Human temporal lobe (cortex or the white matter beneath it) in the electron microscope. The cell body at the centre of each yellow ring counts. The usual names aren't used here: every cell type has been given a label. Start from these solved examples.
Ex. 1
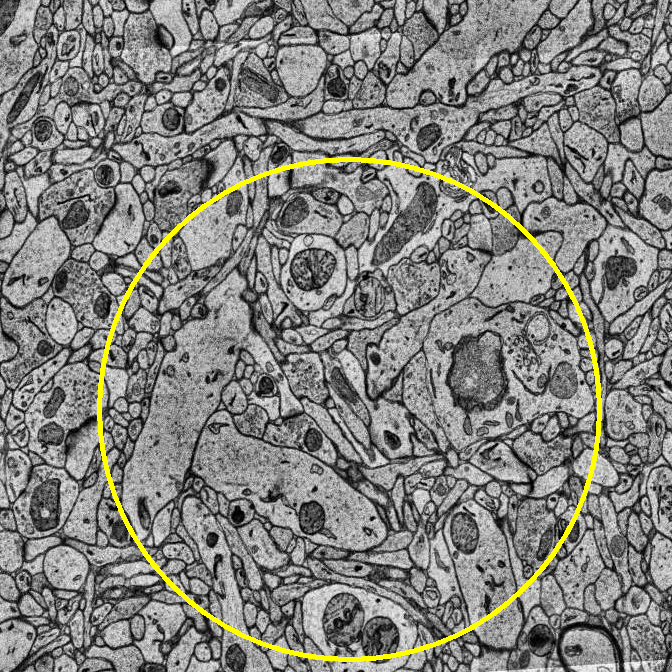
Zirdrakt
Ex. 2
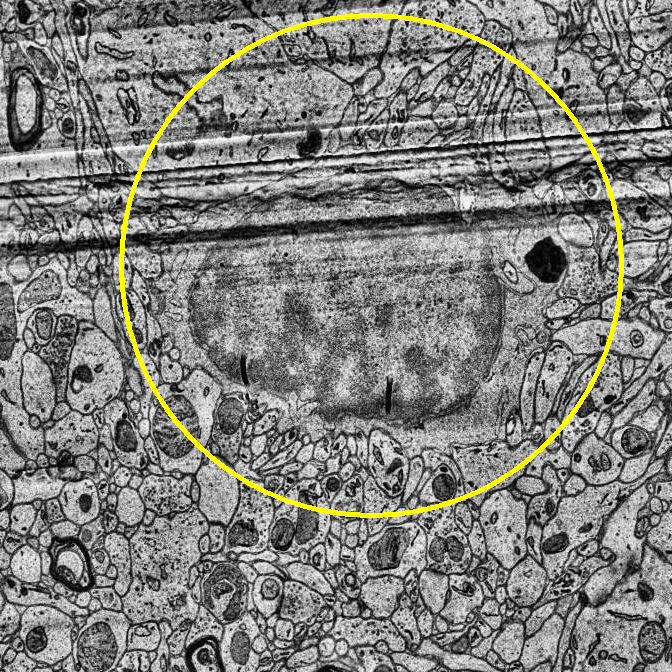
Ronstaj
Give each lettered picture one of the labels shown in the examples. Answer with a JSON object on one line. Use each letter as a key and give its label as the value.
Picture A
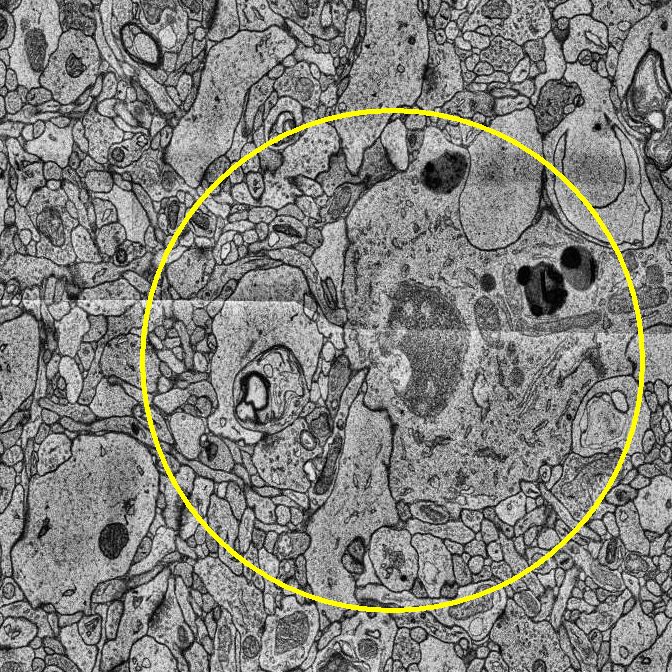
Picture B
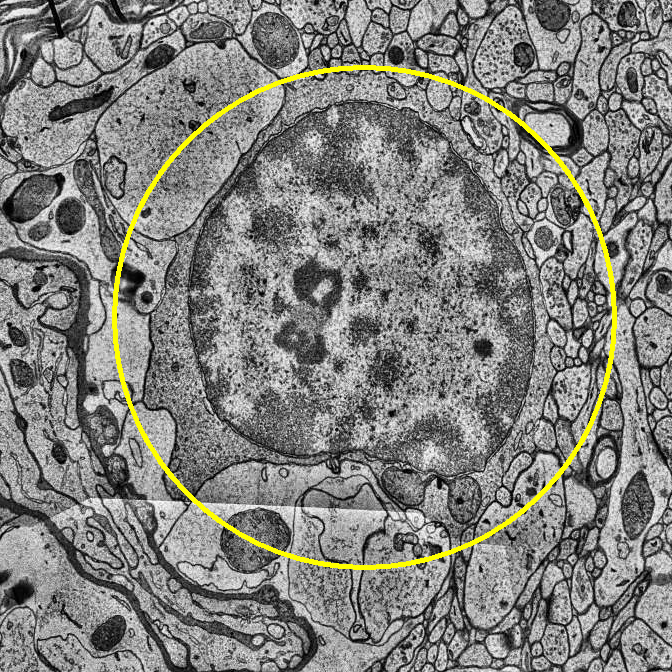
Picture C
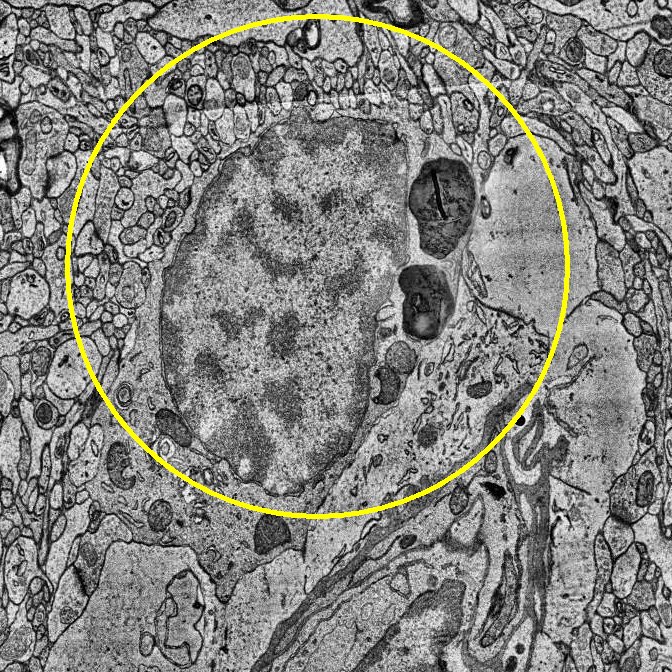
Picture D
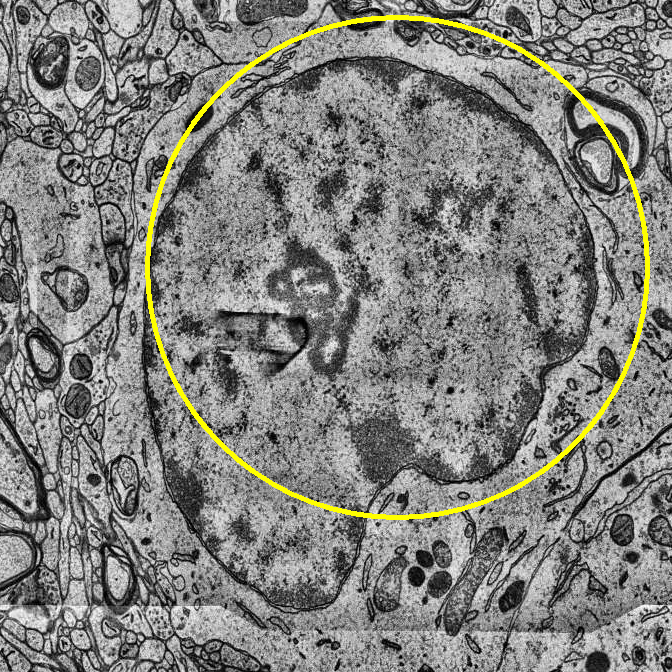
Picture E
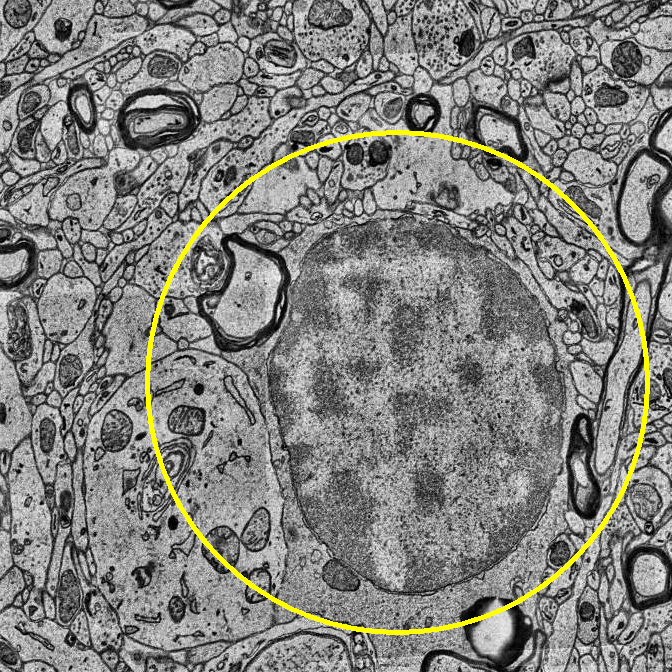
{"A": "Zirdrakt", "B": "Ronstaj", "C": "Ronstaj", "D": "Zirdrakt", "E": "Ronstaj"}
